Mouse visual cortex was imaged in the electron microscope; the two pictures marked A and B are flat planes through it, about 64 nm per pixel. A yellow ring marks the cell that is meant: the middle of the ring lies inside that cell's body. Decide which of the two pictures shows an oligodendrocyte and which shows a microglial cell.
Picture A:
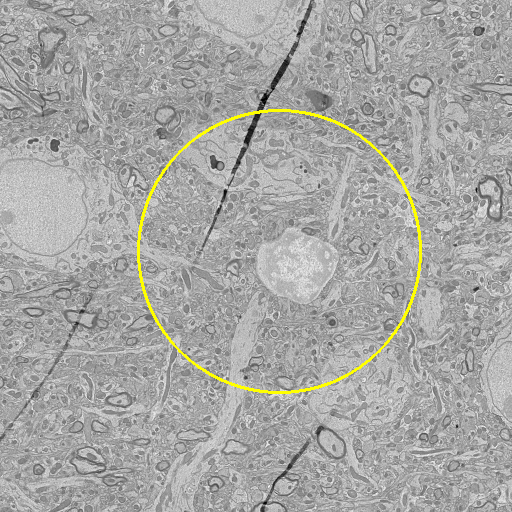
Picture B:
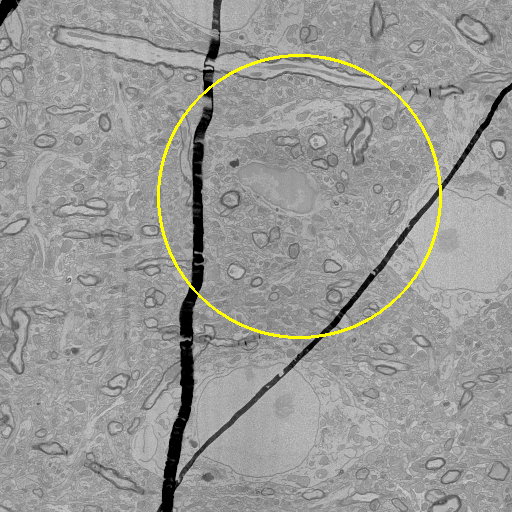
Picture A is of an oligodendrocyte, and picture B is of a microglial cell.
